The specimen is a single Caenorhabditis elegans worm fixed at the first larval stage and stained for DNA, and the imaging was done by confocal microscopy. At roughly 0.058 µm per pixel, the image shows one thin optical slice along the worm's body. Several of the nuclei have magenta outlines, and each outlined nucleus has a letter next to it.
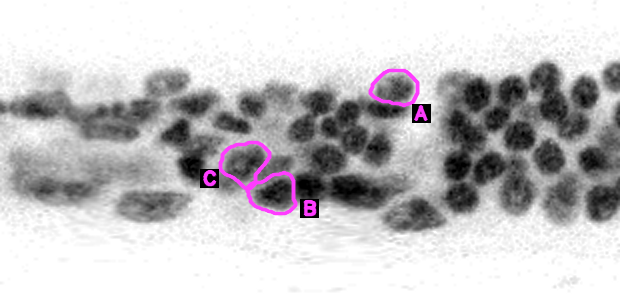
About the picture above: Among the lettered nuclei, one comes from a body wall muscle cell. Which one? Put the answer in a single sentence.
The nucleus of a body wall muscle cell is A.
